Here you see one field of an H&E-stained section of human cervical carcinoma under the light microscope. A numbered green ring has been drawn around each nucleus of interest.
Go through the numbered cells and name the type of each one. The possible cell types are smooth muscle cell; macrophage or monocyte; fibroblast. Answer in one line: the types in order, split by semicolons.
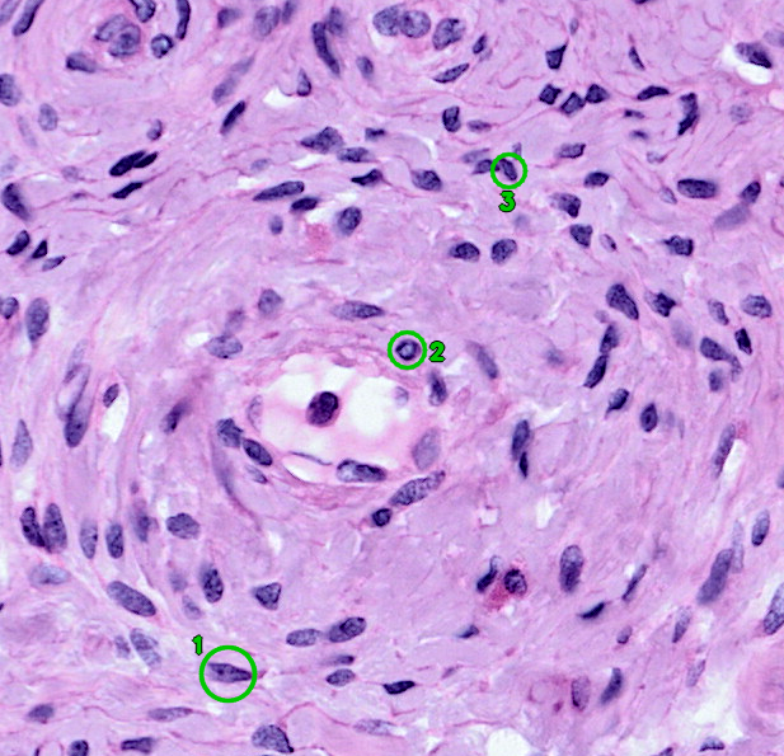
fibroblast; smooth muscle cell; fibroblast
